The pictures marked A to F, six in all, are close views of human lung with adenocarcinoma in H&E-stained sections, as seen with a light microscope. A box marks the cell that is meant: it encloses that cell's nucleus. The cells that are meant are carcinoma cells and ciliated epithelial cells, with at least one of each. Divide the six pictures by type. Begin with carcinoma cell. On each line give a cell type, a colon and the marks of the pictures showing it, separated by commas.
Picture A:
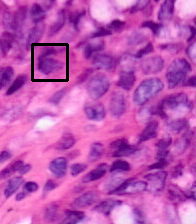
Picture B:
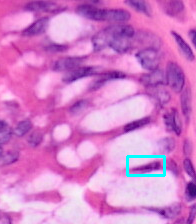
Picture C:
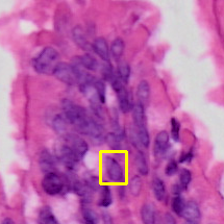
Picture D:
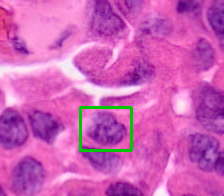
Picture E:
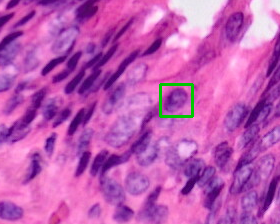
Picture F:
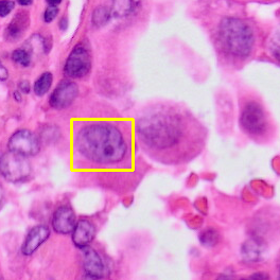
carcinoma cell: D, F
ciliated epithelial cell: A, B, C, E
